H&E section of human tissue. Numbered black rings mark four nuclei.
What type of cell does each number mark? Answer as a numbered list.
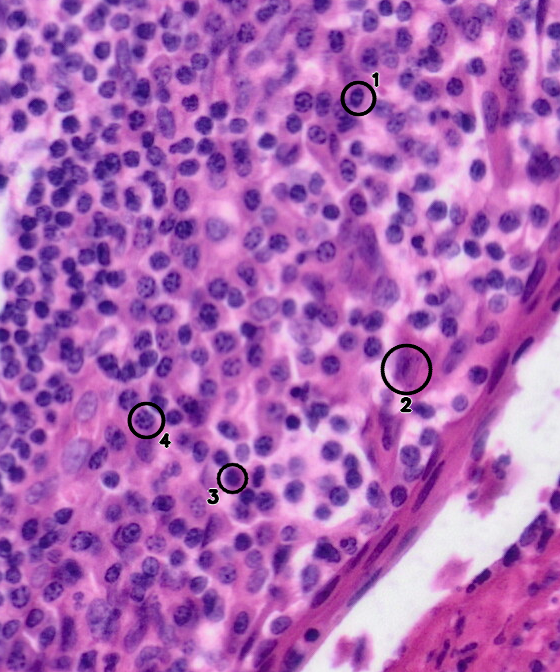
1. plasma cell
2. squamous epithelial cell
3. plasma cell
4. plasma cell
